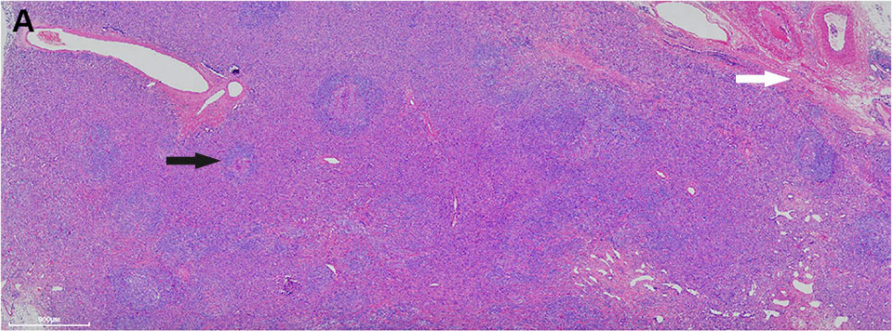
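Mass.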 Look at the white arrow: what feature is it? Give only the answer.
Capsule.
